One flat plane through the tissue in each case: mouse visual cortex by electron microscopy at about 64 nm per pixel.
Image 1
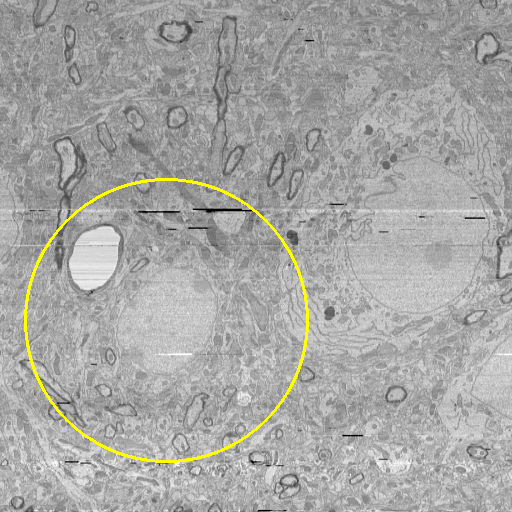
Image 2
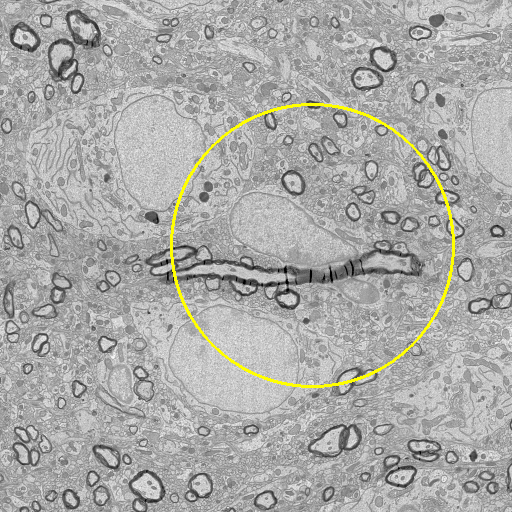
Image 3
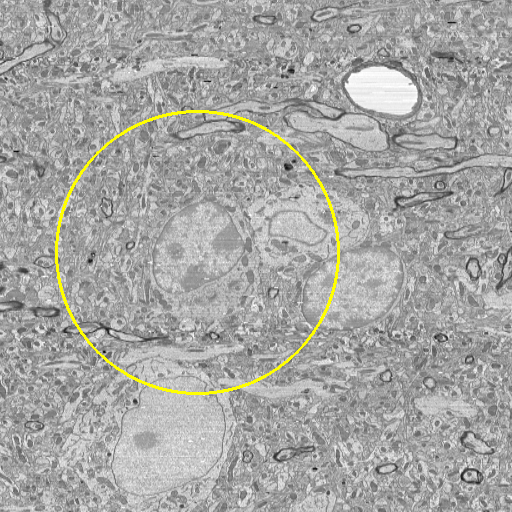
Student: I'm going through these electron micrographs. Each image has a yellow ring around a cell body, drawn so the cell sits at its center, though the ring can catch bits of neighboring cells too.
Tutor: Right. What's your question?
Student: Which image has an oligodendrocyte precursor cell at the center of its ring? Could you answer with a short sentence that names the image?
Image 2 shows it at the center of its ring.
